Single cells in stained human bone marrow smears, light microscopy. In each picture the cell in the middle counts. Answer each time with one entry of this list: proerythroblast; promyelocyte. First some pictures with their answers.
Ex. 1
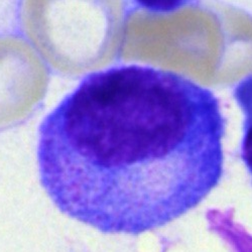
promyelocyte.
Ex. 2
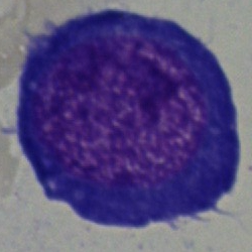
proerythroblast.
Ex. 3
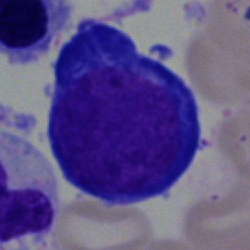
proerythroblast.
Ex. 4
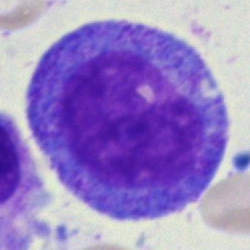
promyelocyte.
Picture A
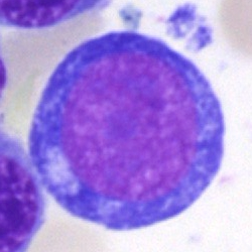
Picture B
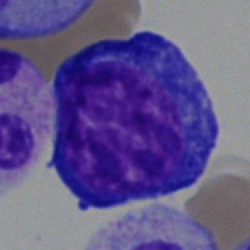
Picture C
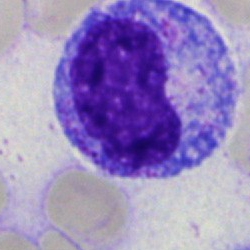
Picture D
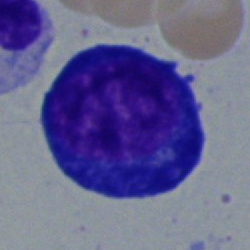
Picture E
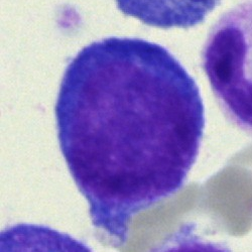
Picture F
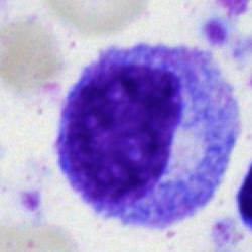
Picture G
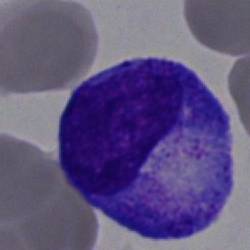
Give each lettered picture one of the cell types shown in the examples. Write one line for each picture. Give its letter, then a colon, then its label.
A: proerythroblast.
B: proerythroblast.
C: promyelocyte.
D: proerythroblast.
E: proerythroblast.
F: promyelocyte.
G: promyelocyte.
